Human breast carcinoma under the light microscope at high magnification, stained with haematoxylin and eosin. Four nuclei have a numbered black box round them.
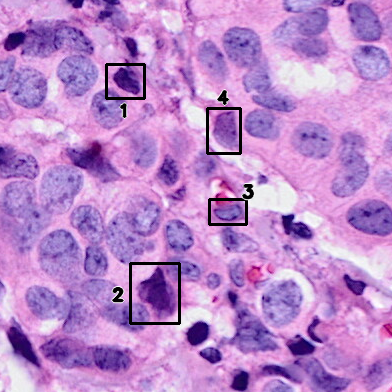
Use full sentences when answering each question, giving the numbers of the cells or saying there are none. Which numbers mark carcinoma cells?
The cells referred to by the numbers 1, 2 and 4 are carcinoma cells.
